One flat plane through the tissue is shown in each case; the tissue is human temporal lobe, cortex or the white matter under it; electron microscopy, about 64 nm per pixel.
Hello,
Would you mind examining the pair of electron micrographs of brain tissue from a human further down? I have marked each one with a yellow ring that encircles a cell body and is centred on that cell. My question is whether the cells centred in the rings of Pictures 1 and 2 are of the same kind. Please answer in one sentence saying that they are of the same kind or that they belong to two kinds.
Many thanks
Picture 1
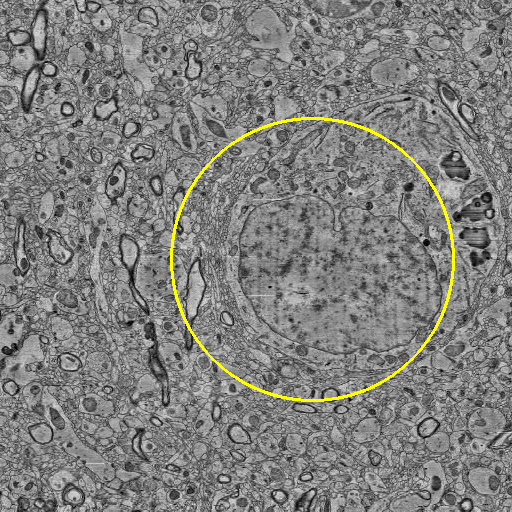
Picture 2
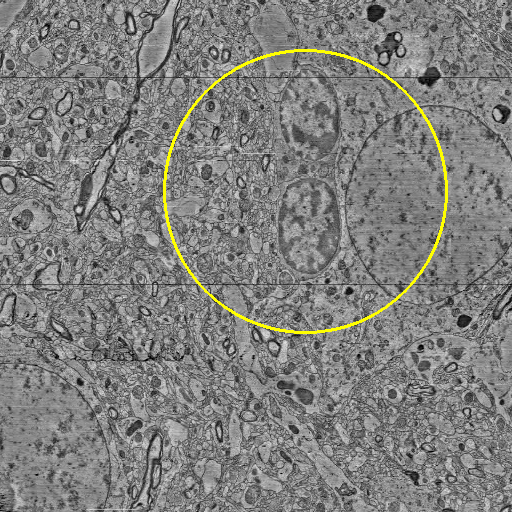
In Pictures 1 and 2, the cells at the heart of the rings belong to two kinds.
